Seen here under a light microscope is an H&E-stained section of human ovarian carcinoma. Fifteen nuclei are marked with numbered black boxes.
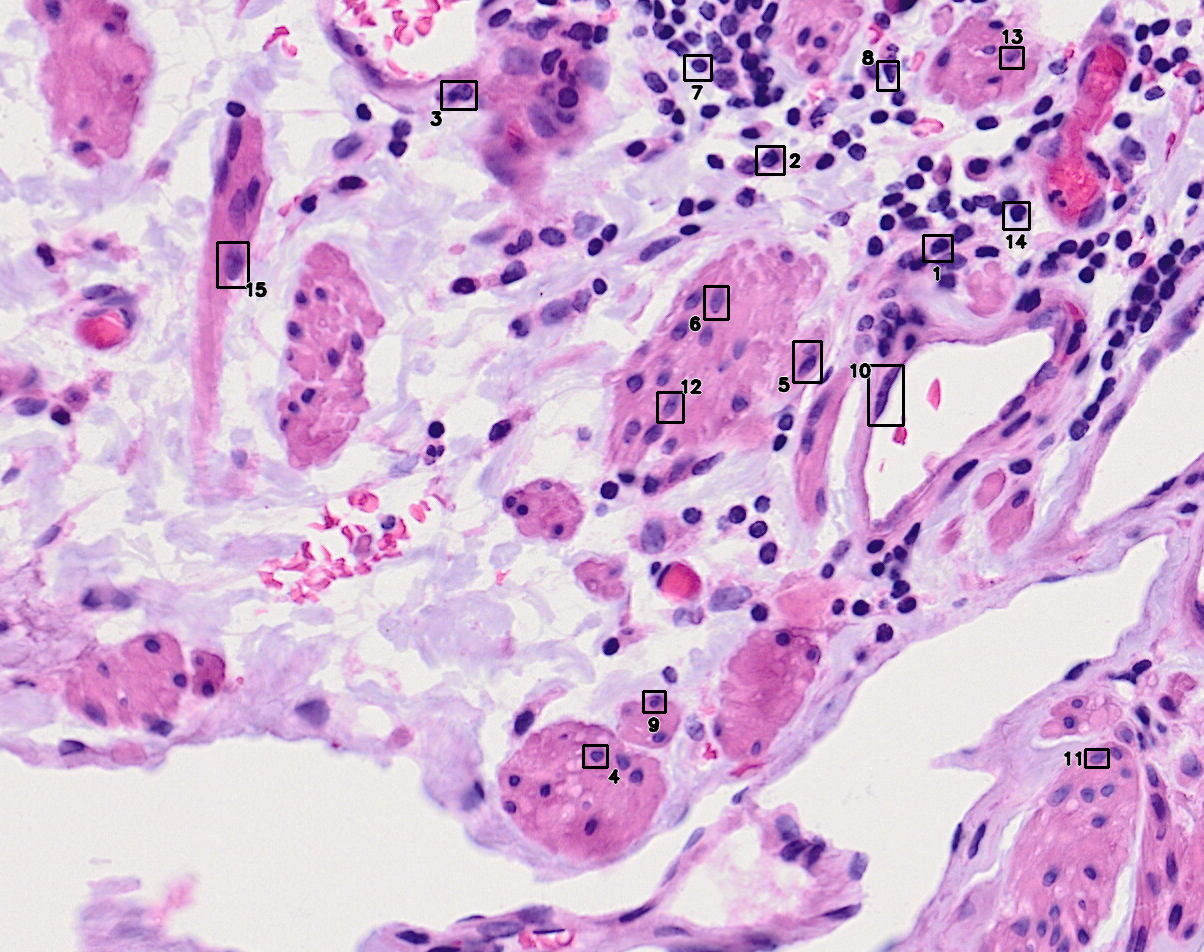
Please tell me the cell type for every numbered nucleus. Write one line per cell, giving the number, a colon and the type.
1: lymphocyte
2: lymphocyte
3: lymphocyte
4: smooth muscle cell
5: smooth muscle cell
6: smooth muscle cell
7: lymphocyte
8: lymphocyte
9: smooth muscle cell
10: endothelial cell
11: smooth muscle cell
12: smooth muscle cell
13: smooth muscle cell
14: lymphocyte
15: smooth muscle cell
